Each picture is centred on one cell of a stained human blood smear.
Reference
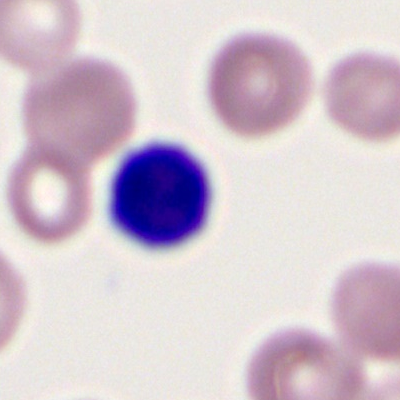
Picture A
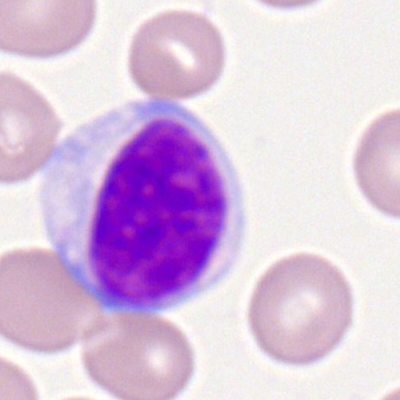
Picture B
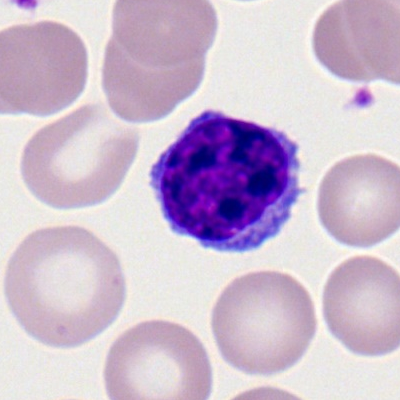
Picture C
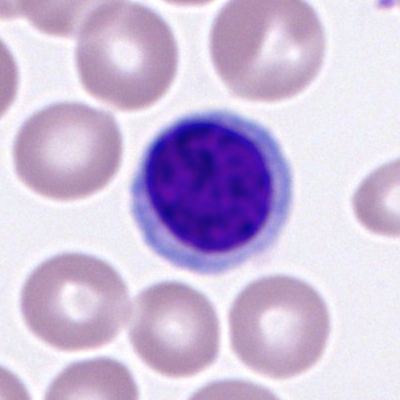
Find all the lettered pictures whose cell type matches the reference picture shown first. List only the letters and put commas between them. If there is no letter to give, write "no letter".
A, B, C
